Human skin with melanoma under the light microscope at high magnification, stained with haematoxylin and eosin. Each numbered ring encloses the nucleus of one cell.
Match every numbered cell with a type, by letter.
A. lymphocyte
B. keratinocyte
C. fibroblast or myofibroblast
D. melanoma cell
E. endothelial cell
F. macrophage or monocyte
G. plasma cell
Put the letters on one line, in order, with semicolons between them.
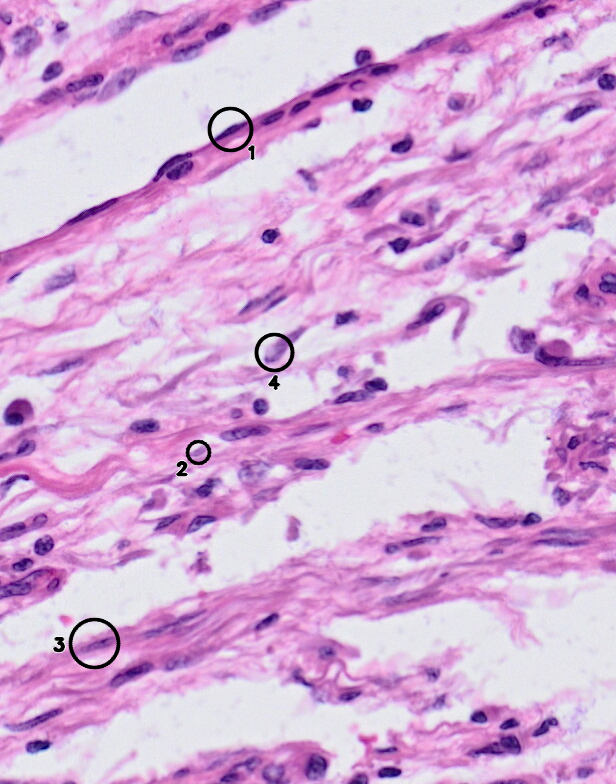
E; C; F; C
